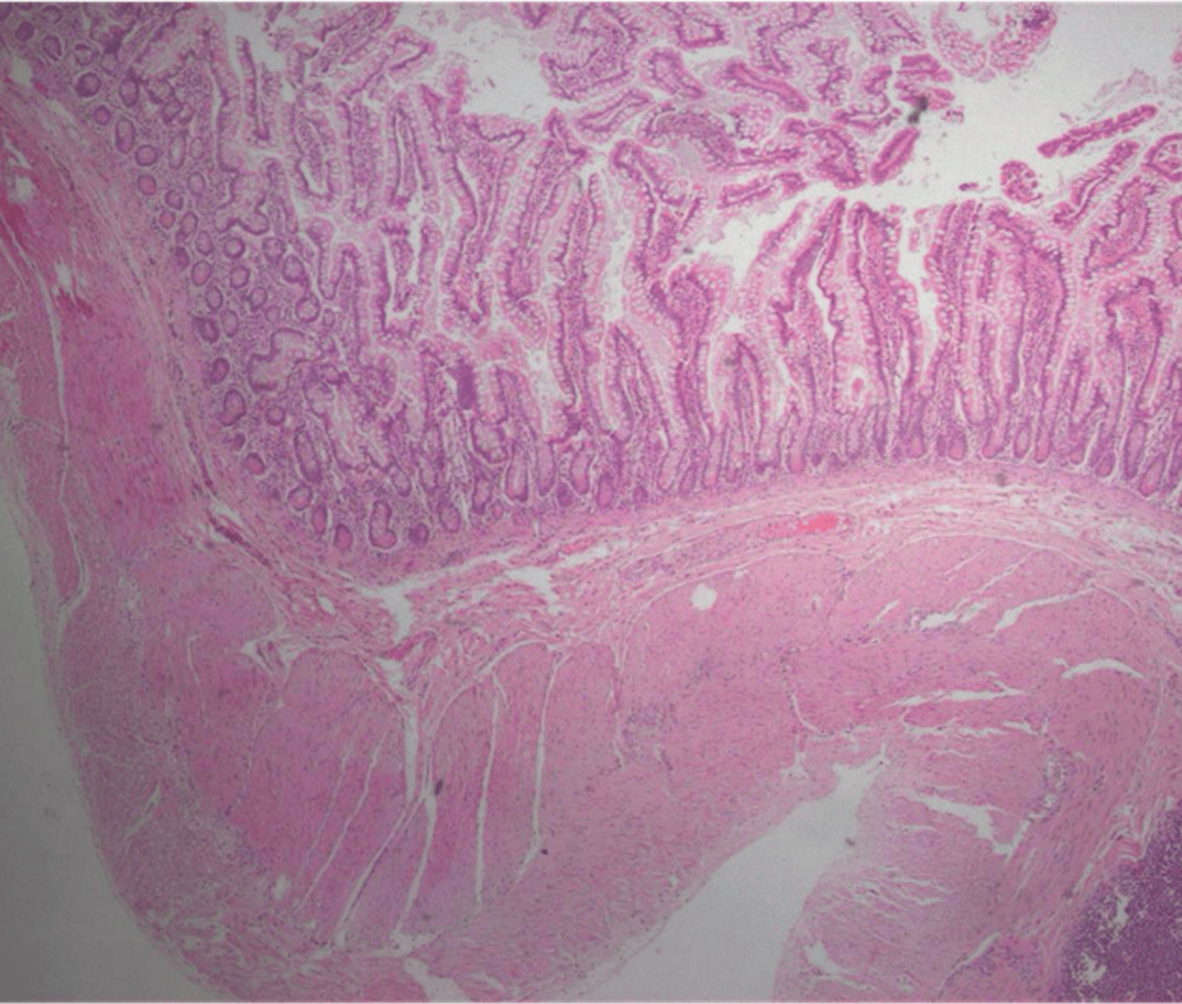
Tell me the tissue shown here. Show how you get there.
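Intestinal wall. Finger-like villi lined by a single layer of columnar epithelium project into a lumen at the top. Rows of tubular crypts sit at the base of the villi. A pale loose connective tissue layer separates the mucosa from a thick pink muscle layer below.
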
